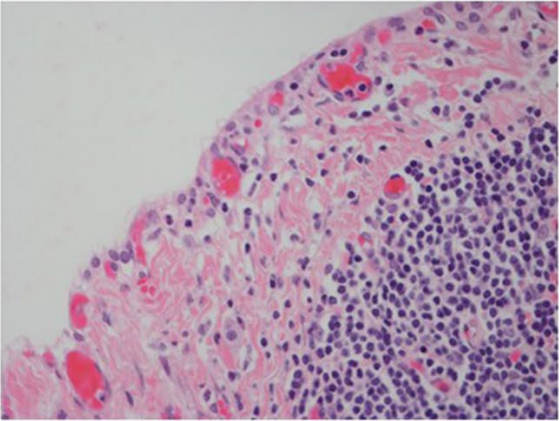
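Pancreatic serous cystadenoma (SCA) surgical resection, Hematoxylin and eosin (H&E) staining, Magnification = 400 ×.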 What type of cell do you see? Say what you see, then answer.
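Lymphoid cells. A dense sheet of small round cells with dark purple nuclei and scant cytoplasm. The sheet lies under a thin cyst wall with pink collagen and congested vessels.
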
